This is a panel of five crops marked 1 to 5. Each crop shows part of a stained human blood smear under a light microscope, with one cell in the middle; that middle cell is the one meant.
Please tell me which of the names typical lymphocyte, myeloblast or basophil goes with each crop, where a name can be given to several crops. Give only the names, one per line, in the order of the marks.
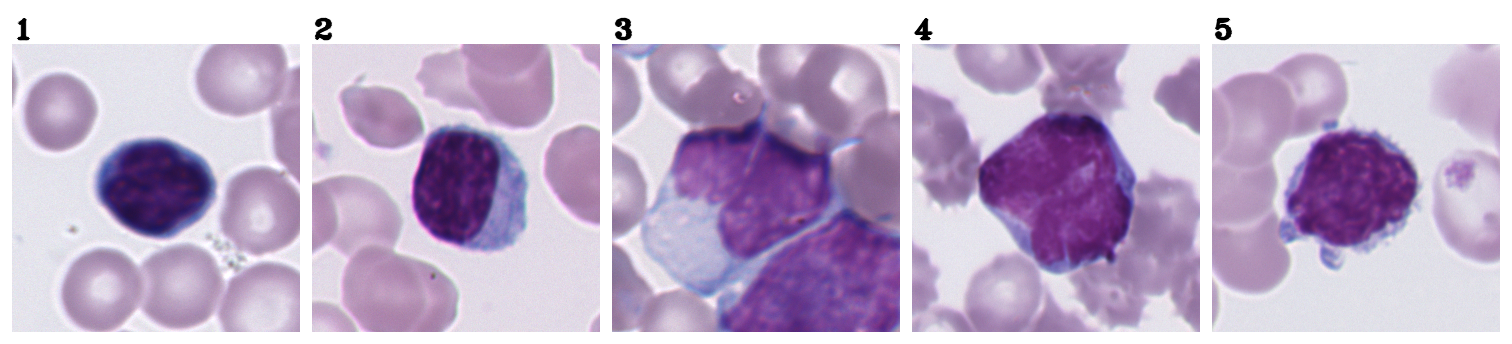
typical lymphocyte
typical lymphocyte
myeloblast
myeloblast
typical lymphocyte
